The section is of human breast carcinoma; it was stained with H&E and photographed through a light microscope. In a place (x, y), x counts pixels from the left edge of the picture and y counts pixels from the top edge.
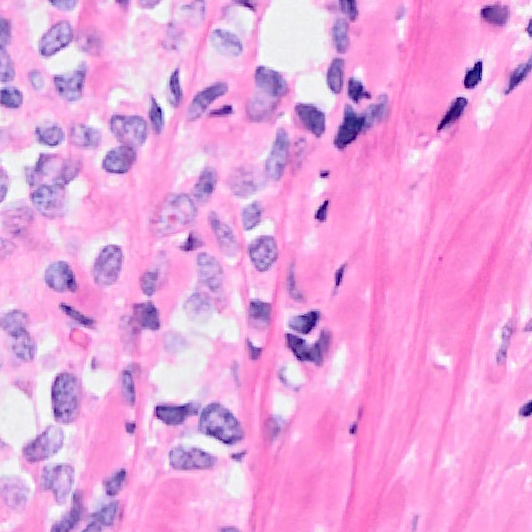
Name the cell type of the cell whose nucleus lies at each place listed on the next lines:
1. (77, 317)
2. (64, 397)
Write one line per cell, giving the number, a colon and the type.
1: endothelial cell
2: carcinoma cell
